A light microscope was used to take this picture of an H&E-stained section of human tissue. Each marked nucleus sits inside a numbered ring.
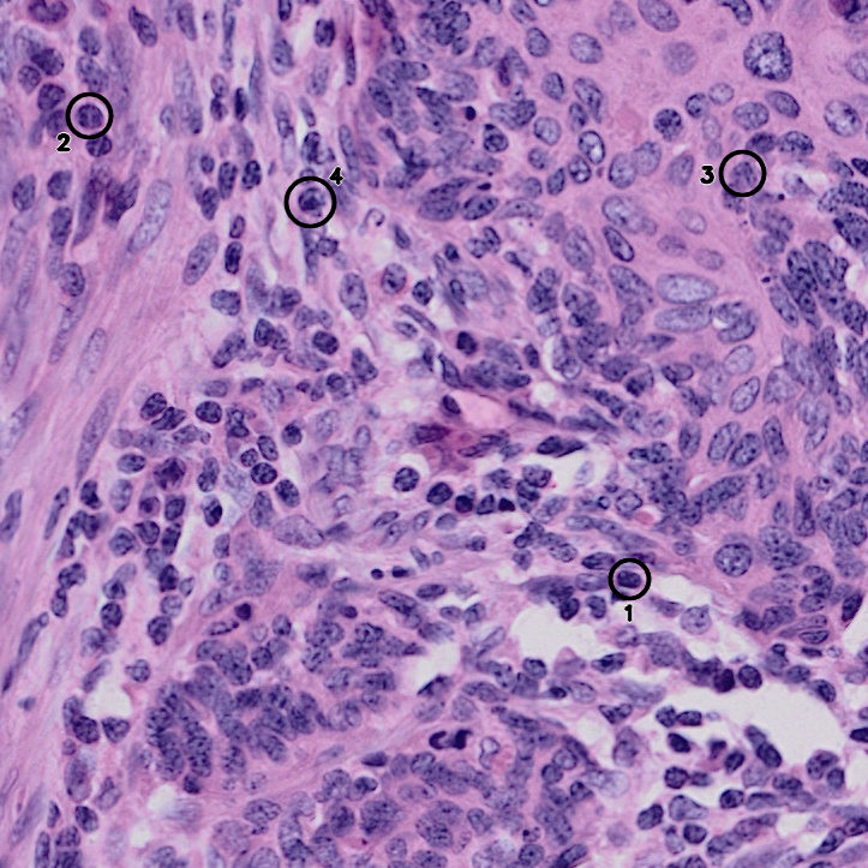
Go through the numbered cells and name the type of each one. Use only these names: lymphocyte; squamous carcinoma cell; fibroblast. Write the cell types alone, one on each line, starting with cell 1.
lymphocyte
lymphocyte
squamous carcinoma cell
lymphocyte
